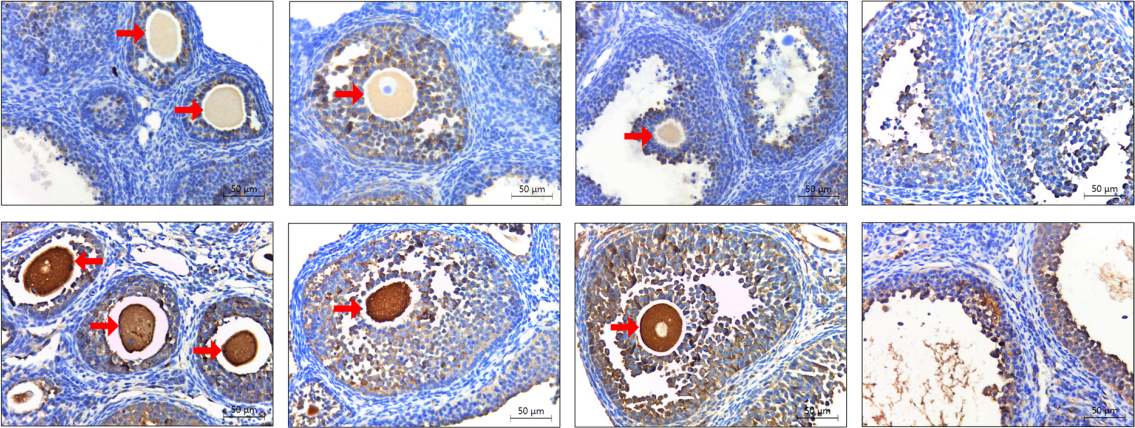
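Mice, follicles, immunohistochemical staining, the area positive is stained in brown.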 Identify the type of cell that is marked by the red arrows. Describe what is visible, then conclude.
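Oocytes. Each red arrow points to a single large round cell much bigger than the surrounding cells. The marked cells lie at the centre or to one side of a ring or mass of small tightly packed cells. Each marked cell is surrounded by a clear halo-like layer.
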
